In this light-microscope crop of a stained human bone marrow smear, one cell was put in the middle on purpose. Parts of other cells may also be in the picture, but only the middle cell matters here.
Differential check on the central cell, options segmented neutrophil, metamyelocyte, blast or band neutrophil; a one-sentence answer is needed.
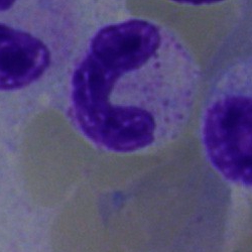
The cell in the middle of the field of view is a band neutrophil.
